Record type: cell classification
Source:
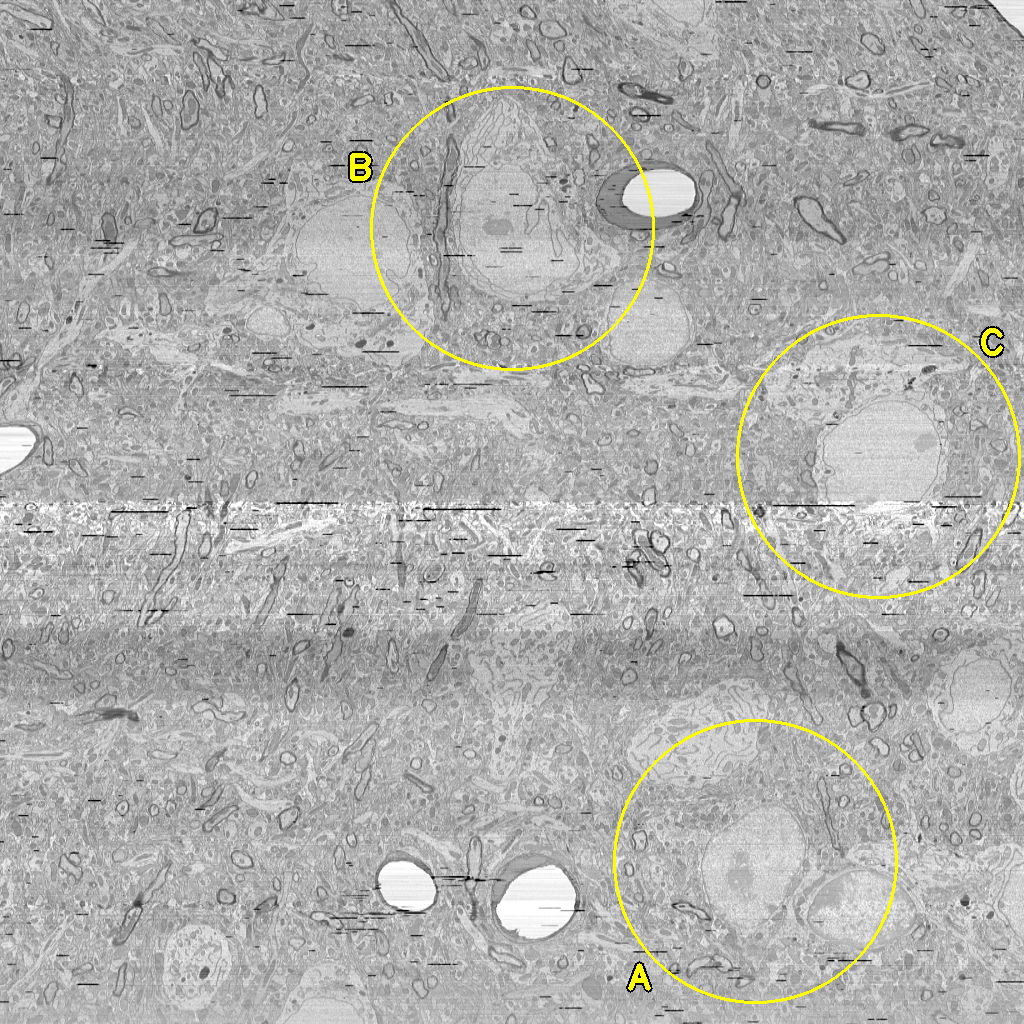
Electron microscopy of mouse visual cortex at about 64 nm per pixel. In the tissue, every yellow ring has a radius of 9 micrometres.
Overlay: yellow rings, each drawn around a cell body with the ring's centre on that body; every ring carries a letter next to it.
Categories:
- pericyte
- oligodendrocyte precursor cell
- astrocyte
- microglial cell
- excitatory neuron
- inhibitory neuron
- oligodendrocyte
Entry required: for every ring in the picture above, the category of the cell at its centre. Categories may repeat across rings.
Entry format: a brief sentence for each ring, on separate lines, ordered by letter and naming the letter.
At the centre of ring A lies an astrocyte.
At the centre of ring B lies an inhibitory neuron.
At the centre of ring C lies an excitatory neuron.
